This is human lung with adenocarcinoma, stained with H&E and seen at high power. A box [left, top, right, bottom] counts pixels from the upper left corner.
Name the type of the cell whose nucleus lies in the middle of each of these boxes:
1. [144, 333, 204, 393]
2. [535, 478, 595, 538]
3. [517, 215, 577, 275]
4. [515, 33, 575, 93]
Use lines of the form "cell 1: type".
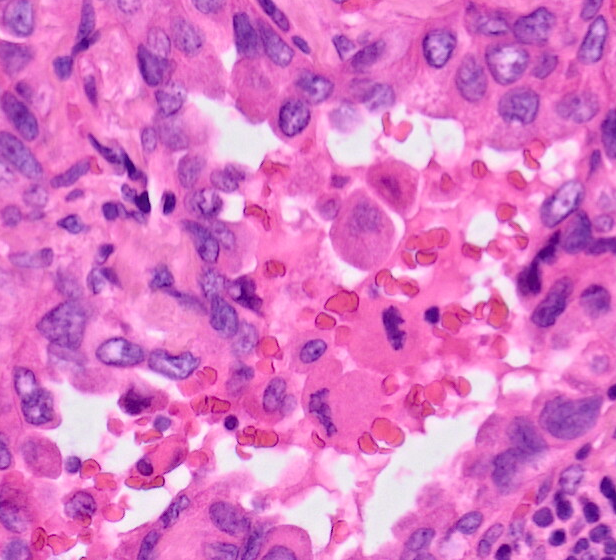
cell 1: carcinoma cell
cell 2: lymphocyte
cell 3: carcinoma cell
cell 4: carcinoma cell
